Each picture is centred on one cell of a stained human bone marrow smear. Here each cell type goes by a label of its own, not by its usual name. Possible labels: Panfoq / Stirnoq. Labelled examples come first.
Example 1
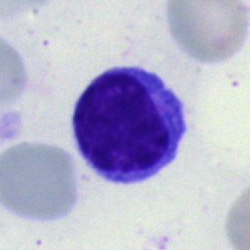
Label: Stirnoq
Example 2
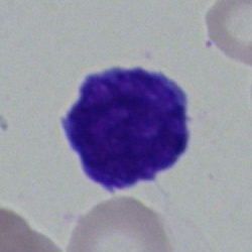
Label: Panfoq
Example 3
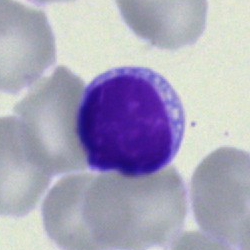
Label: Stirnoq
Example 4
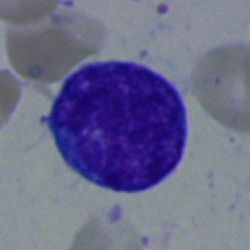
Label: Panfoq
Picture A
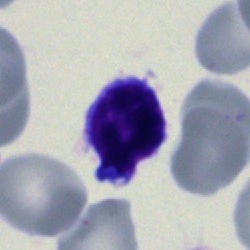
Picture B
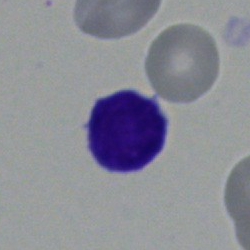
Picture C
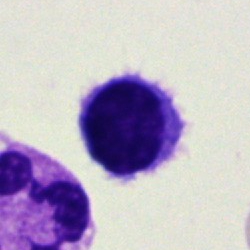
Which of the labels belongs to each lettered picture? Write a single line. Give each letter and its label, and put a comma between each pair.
A Stirnoq, B Stirnoq, C Stirnoq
